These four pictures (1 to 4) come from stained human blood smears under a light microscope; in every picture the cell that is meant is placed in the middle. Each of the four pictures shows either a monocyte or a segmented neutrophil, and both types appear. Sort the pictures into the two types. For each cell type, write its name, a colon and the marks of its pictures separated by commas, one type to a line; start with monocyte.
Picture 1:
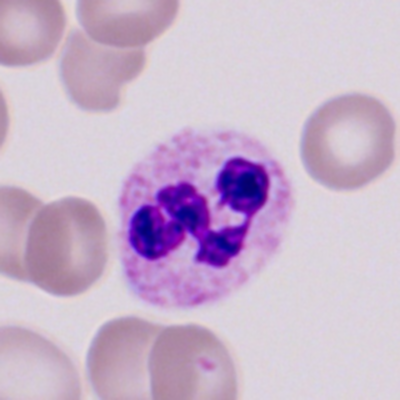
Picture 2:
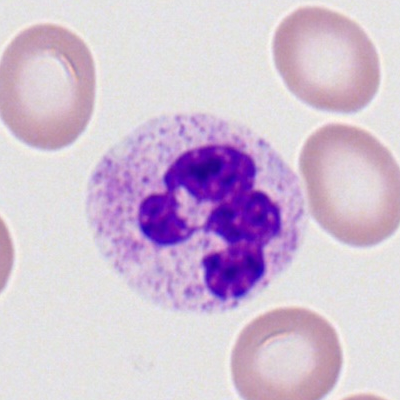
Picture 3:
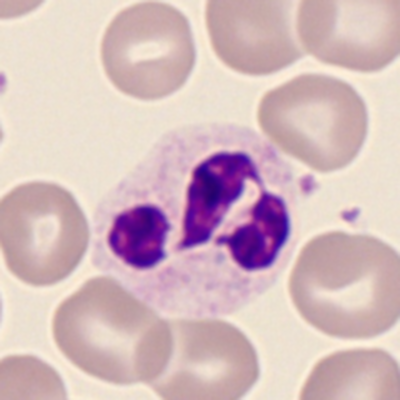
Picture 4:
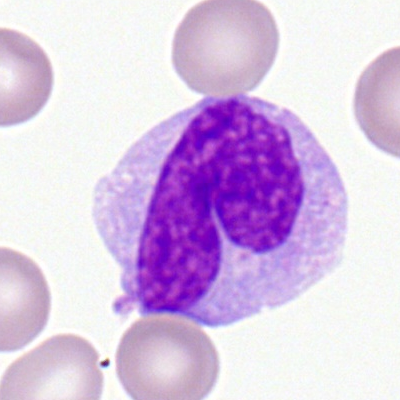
monocyte: 4
segmented neutrophil: 1, 2, 3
